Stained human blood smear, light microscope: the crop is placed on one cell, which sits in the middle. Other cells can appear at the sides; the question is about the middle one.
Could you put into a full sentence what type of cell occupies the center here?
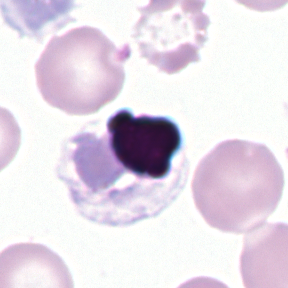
Answering briefly, the cell in the middle is a normoblast.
